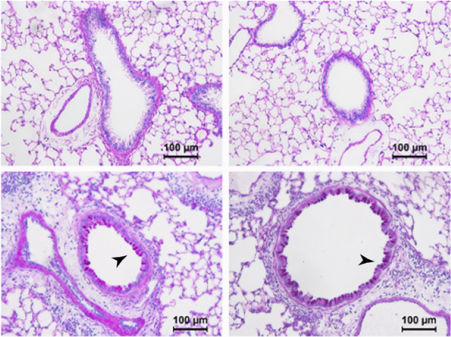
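Four views of lung show bronchioles surrounded by alveolar tissue, stained in shades of pink and purple. In the upper two views the airway epithelium is thin and pale, with little magenta-purple stain. In the lower two views the epithelial lining of the airways is thickened and packed with cells filled with deep magenta-purple material, and cellular infiltrates lie around the airways. These stained cells in the lining are mucus-filled goblet cells, increased in number.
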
